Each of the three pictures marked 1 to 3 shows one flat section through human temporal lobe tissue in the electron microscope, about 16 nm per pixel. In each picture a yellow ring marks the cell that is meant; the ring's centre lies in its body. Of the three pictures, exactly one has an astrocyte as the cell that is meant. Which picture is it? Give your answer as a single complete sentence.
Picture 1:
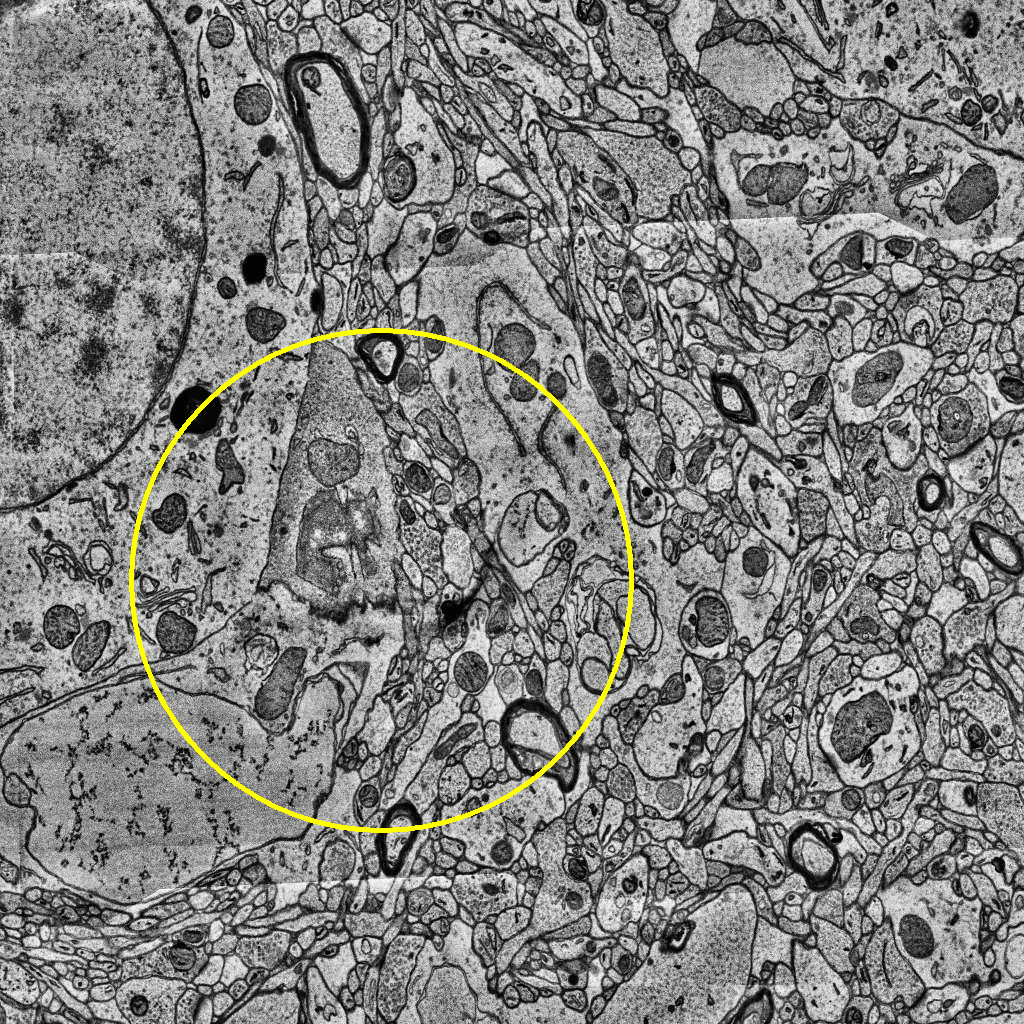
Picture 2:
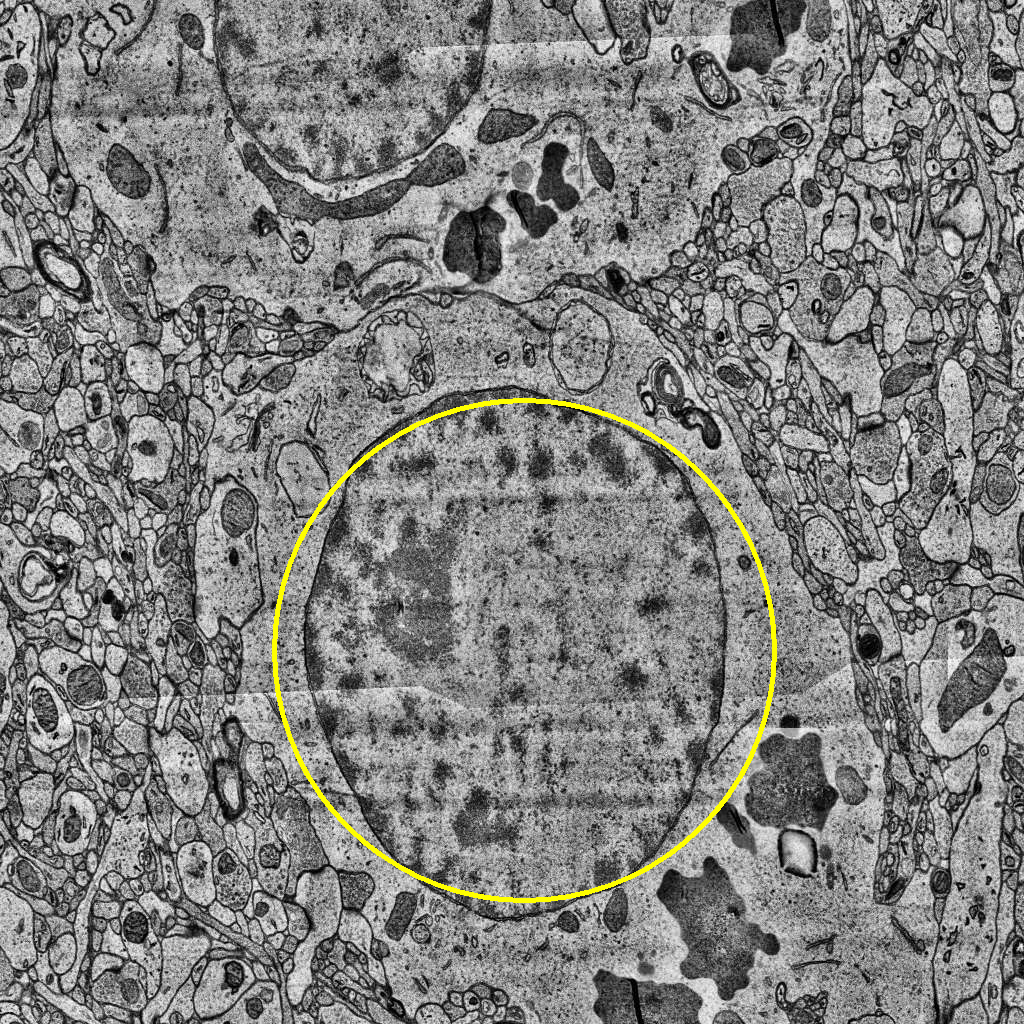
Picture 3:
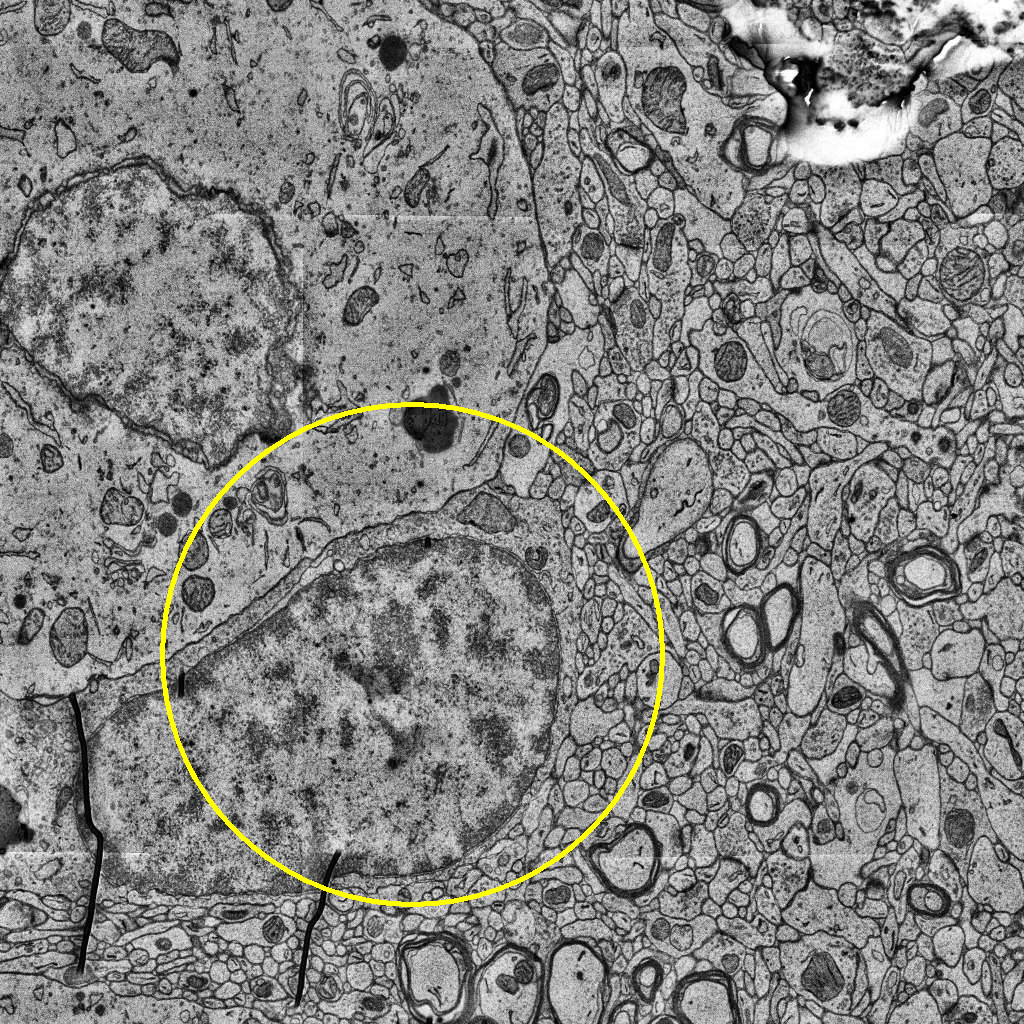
The astrocyte is the one in picture 2.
